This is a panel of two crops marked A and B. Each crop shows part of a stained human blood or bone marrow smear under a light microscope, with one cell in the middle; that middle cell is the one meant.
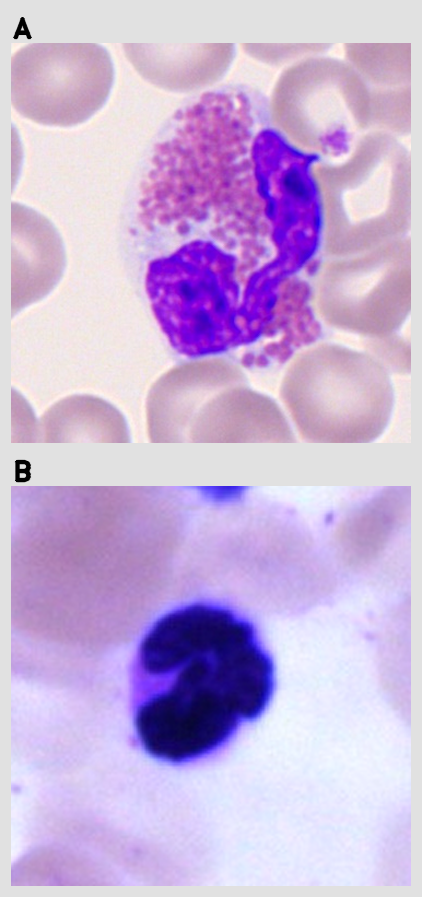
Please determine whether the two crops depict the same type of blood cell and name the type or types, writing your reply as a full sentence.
No, while an eosinophil is found in crop A, a segmented neutrophil is found in crop B.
